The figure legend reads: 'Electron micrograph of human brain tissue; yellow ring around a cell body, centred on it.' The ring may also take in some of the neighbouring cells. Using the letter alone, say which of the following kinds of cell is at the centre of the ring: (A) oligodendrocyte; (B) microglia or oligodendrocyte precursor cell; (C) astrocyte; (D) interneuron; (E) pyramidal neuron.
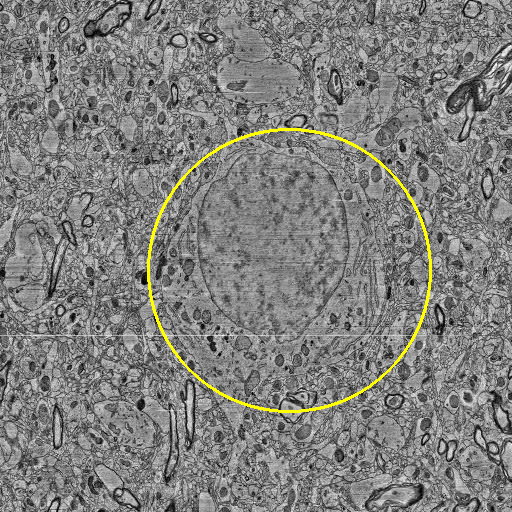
D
